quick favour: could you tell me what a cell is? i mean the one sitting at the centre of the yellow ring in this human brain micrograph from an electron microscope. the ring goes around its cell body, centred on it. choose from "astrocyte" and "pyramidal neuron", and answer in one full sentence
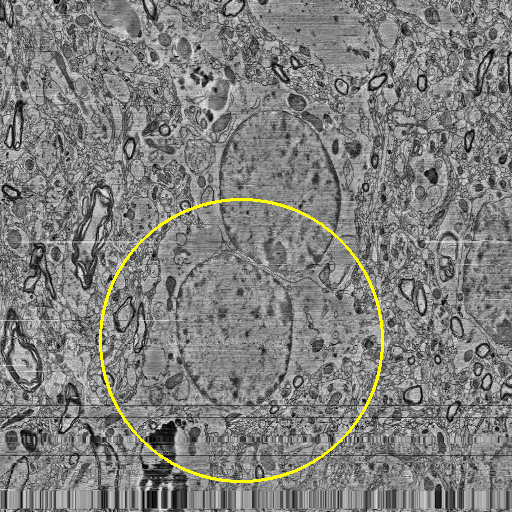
That's an astrocyte, the cell sitting at the centre of the yellow ring.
